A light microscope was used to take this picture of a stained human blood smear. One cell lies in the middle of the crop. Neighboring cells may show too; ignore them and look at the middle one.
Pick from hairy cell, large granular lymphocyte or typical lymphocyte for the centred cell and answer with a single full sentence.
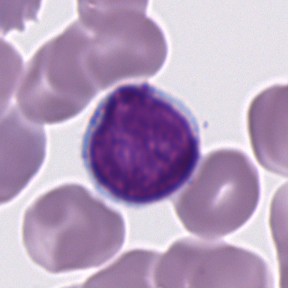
In this smear crop, the middle cell is a typical lymphocyte.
